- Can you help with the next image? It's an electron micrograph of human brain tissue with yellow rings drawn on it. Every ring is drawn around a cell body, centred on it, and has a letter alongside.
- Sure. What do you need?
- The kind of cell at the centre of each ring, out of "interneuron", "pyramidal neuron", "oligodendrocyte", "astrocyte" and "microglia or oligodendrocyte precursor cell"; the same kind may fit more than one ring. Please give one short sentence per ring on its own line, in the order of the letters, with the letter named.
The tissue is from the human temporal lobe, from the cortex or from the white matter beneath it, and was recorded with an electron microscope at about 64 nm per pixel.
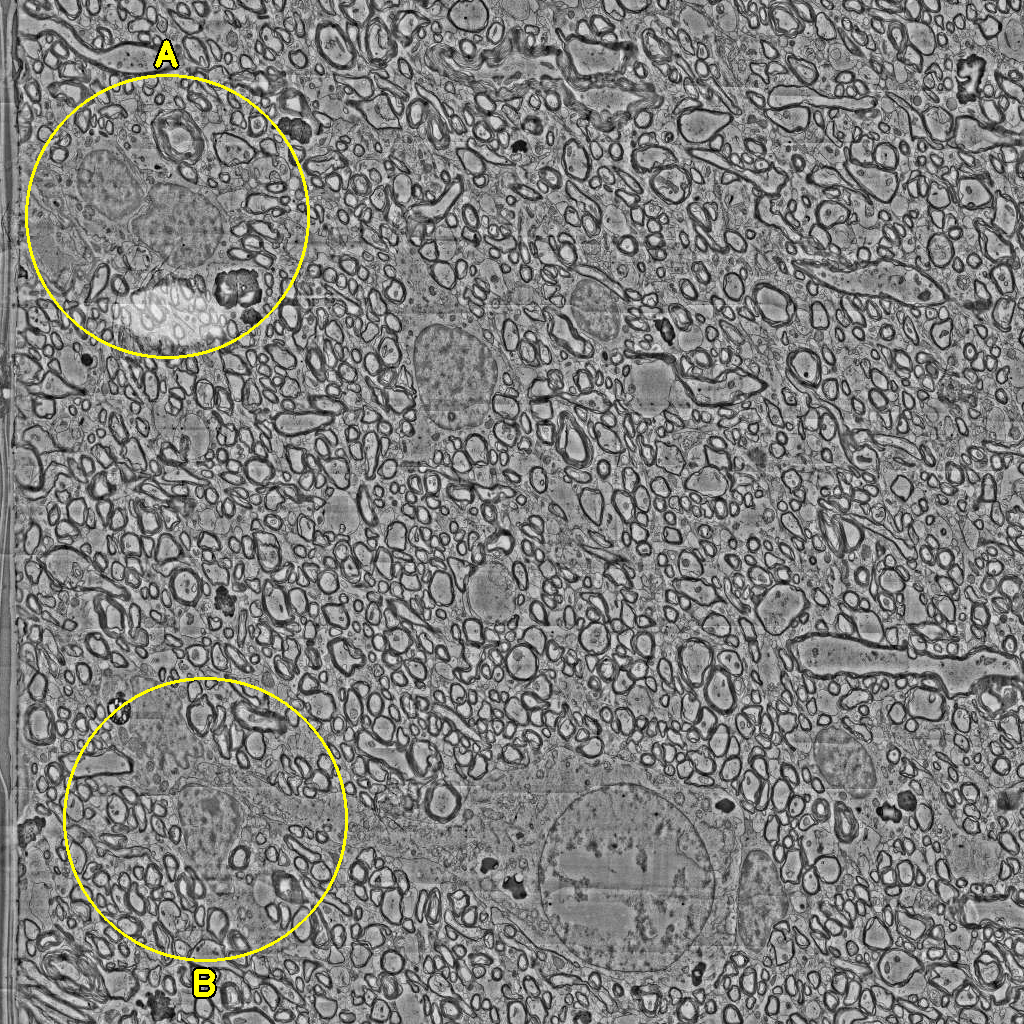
Ring A picks out an oligodendrocyte.
Ring B picks out a microglial cell or oligodendrocyte precursor cell.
